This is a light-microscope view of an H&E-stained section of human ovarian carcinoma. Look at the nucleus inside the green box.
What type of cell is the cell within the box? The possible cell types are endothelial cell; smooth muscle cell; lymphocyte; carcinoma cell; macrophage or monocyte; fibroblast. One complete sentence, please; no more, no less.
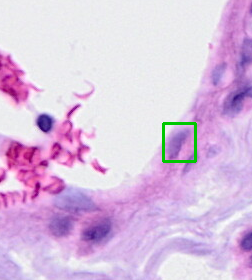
Histopathologically, the cell within the box is an endothelial cell.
